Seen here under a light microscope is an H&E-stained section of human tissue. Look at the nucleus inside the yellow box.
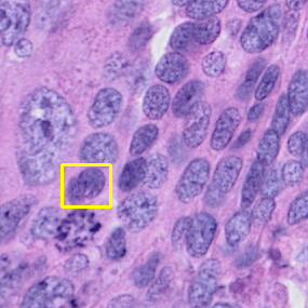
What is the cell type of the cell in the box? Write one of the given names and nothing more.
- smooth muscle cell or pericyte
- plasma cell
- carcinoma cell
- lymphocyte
carcinoma cell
